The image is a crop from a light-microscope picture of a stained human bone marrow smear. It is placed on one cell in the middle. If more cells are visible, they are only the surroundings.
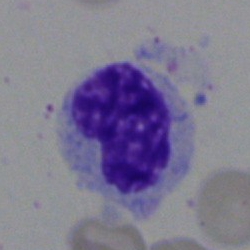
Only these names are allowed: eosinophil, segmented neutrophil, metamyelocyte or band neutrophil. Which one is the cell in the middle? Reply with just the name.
metamyelocyte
